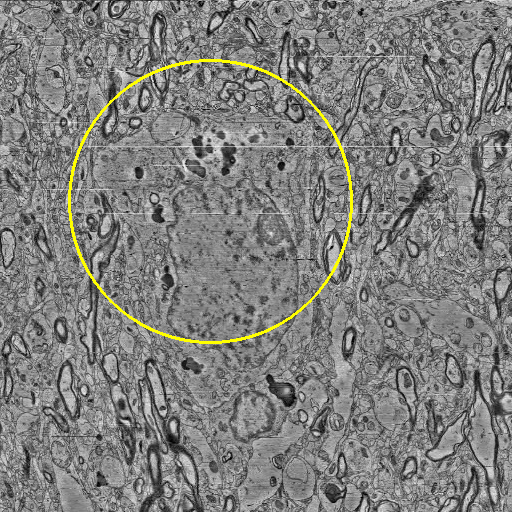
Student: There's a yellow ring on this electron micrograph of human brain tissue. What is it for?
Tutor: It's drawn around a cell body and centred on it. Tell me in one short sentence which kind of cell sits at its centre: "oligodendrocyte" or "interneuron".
The cell at the centre of the ring is an interneuron.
